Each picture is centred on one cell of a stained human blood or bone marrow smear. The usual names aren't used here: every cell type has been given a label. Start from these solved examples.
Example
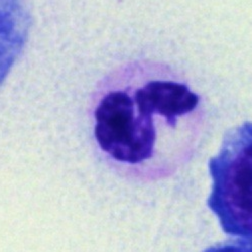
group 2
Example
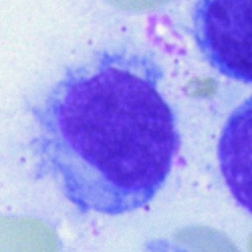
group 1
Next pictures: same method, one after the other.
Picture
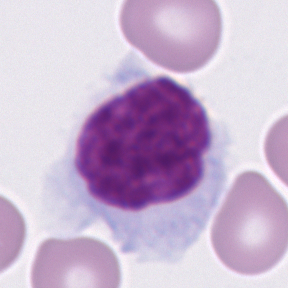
group 1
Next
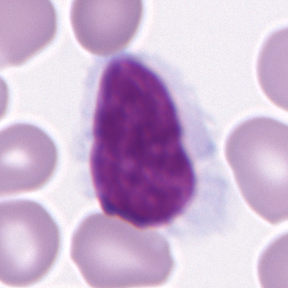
group 1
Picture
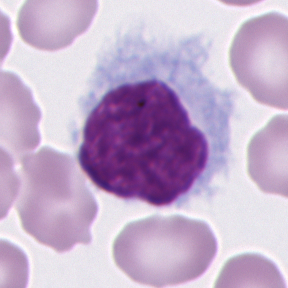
group 1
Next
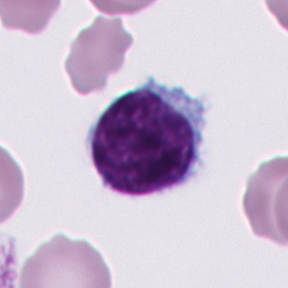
group 1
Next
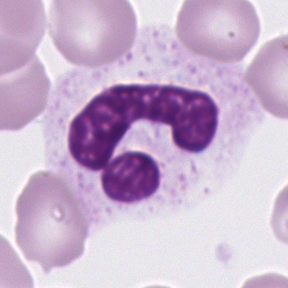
group 2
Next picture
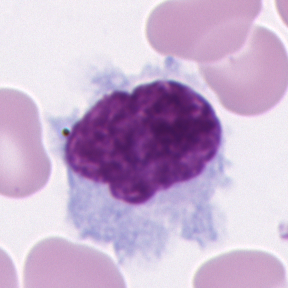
group 1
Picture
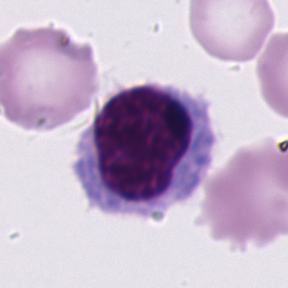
group 1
